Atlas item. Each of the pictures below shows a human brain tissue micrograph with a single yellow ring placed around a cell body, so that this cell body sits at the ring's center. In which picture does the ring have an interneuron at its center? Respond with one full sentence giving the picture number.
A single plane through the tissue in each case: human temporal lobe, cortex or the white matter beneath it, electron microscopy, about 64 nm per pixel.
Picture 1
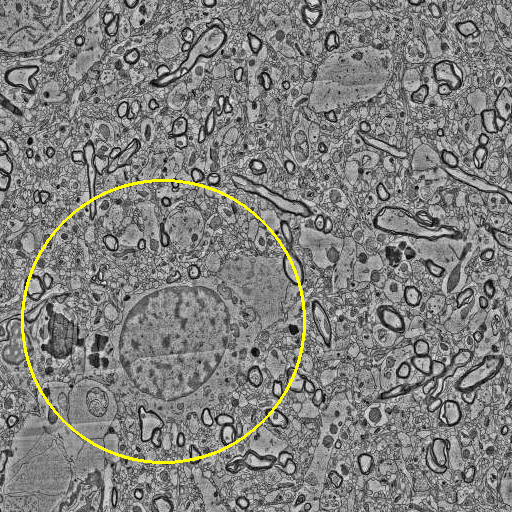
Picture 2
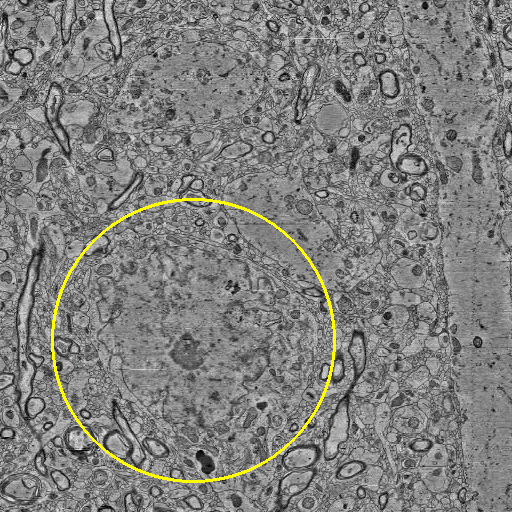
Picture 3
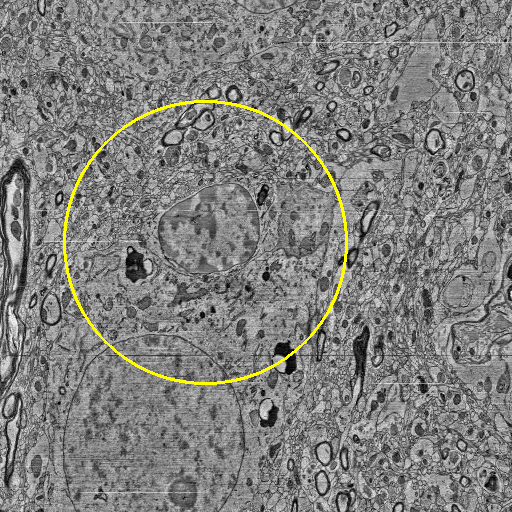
The cell at the ring's center that fits lies in picture 2.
